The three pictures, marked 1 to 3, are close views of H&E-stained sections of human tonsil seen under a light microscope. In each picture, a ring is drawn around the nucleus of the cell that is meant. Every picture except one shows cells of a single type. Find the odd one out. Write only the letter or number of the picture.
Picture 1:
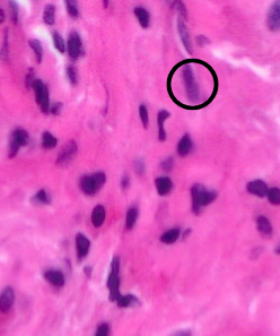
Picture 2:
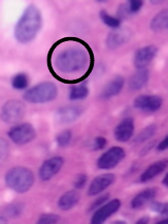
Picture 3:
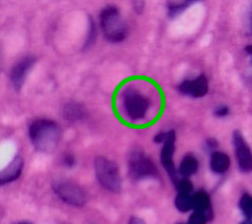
1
